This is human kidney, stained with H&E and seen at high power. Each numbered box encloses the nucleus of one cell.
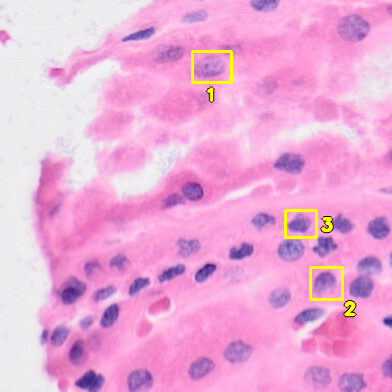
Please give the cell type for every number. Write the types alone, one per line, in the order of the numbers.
proximal tubule cell
loop of Henle or distal tubule cell
loop of Henle or distal tubule cell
